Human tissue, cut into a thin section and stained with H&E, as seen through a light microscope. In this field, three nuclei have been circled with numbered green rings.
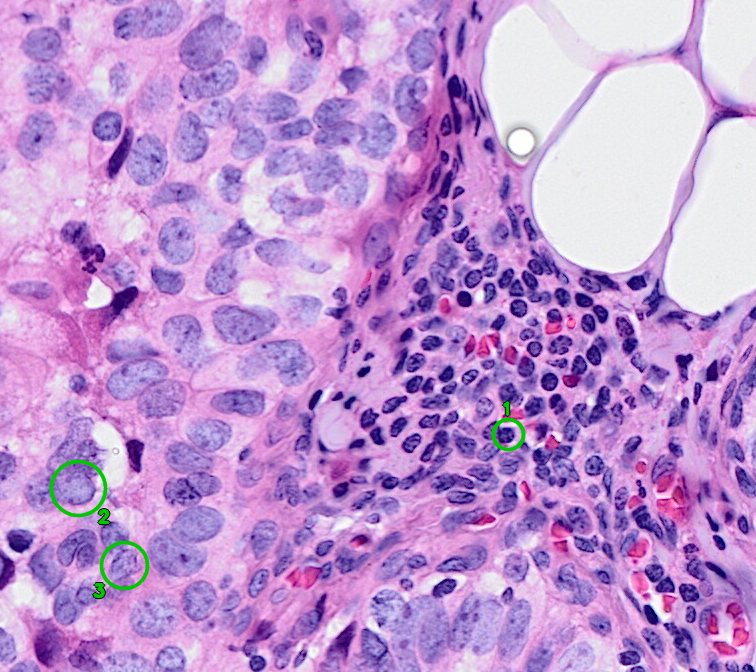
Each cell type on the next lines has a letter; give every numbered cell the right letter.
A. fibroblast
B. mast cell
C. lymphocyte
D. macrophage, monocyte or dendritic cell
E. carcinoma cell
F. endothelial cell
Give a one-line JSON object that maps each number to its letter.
{"1": "C", "2": "E", "3": "E"}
